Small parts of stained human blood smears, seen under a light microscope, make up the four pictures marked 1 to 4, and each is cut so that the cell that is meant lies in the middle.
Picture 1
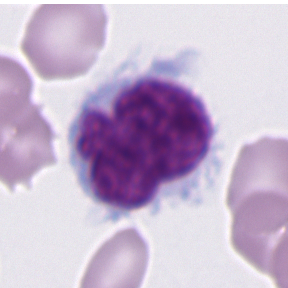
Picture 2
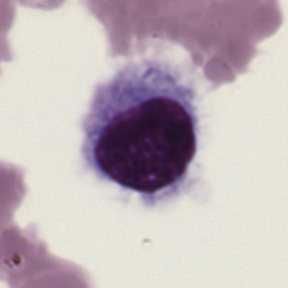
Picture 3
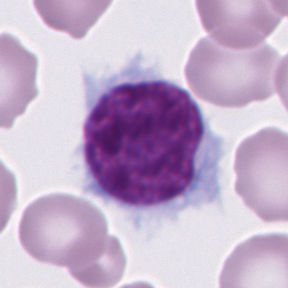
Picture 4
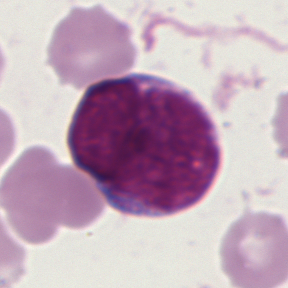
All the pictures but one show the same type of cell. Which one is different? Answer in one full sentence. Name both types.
Unlike the rest, which show hairy cells, picture 4 shows a myeloblast.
